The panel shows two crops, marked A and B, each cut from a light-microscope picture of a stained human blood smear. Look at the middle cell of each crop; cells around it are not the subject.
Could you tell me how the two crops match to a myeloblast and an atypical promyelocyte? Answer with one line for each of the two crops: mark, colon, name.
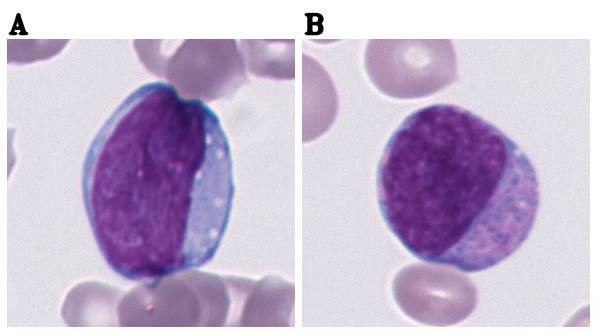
A: myeloblast
B: atypical promyelocyte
